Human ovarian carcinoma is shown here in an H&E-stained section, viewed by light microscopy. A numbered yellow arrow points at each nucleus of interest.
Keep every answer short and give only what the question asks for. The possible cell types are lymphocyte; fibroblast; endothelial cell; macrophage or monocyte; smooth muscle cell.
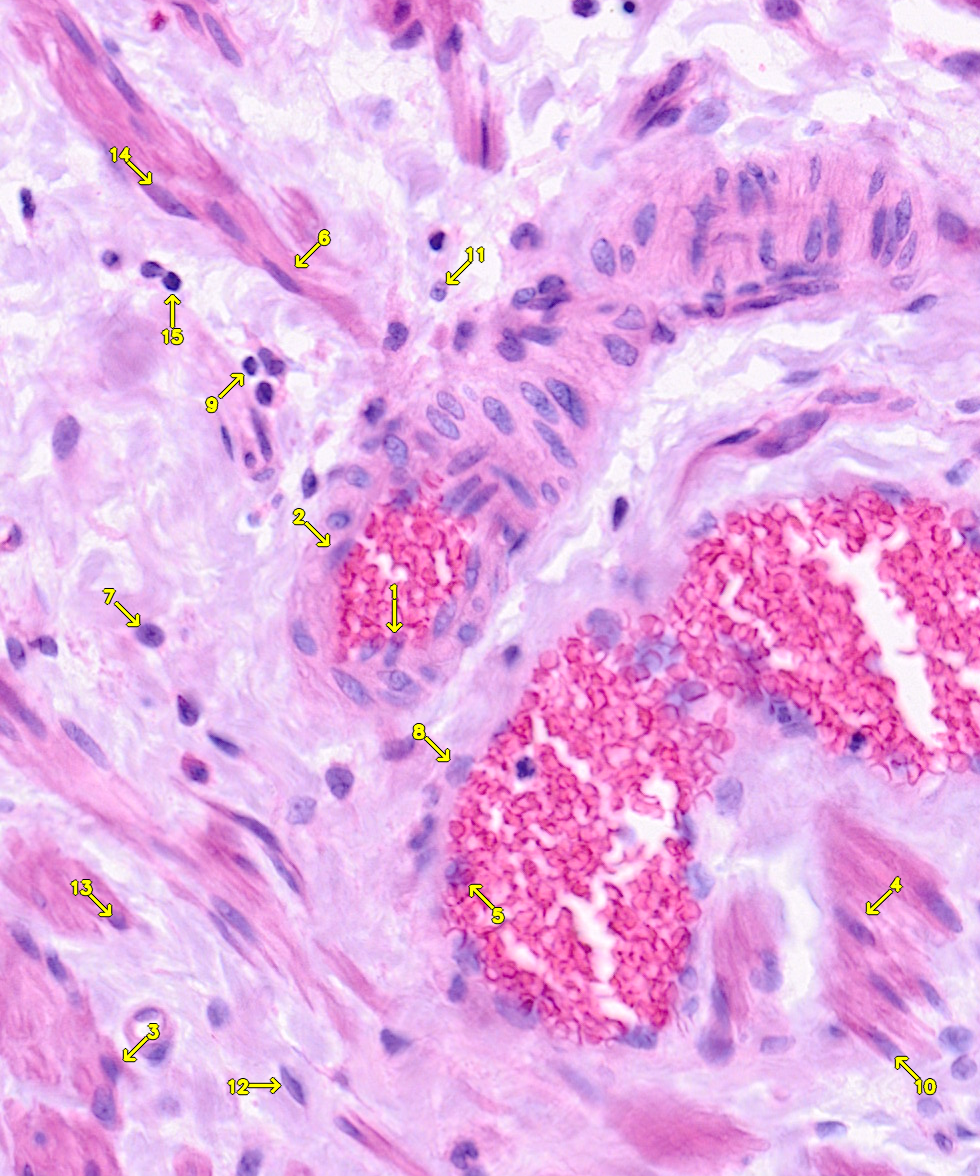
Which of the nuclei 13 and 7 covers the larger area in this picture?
7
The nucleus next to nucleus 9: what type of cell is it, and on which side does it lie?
a macrophage or monocyte; above and to the right of nucleus 9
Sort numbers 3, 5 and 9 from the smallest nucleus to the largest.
9, 3, 5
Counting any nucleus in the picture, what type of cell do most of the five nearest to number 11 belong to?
macrophage or monocyte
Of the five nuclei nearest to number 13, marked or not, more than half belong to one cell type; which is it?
smooth muscle cell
